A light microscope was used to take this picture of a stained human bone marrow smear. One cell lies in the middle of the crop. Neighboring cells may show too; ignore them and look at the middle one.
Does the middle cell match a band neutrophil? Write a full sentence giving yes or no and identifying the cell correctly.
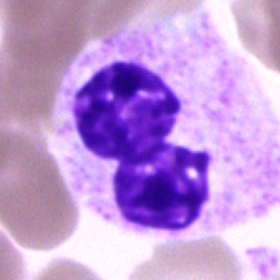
No, the central cell is a segmented neutrophil; it should not be labelled a band neutrophil.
